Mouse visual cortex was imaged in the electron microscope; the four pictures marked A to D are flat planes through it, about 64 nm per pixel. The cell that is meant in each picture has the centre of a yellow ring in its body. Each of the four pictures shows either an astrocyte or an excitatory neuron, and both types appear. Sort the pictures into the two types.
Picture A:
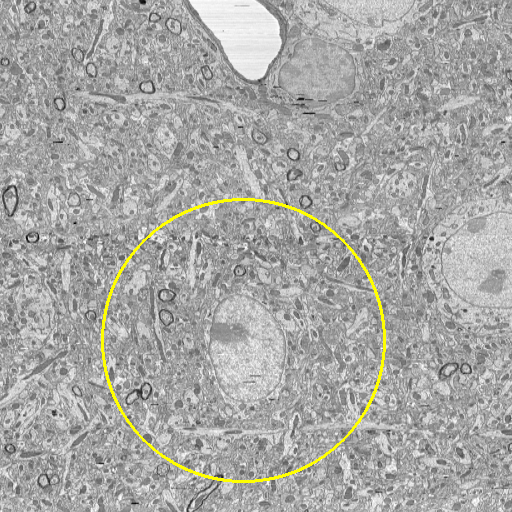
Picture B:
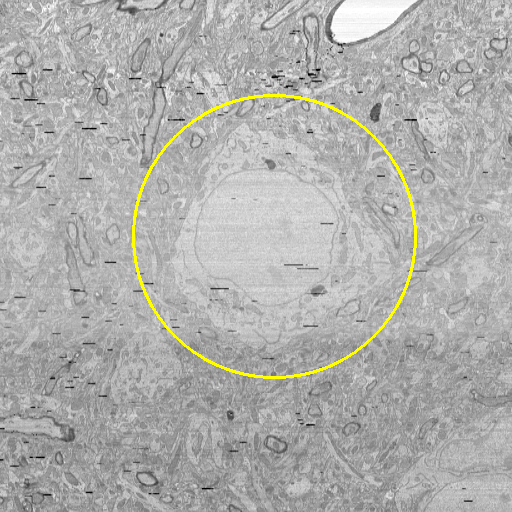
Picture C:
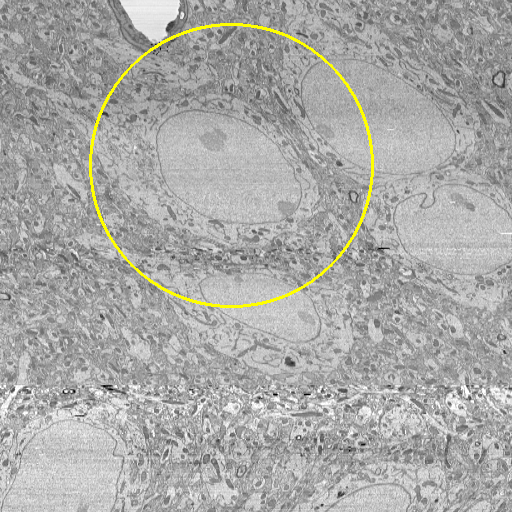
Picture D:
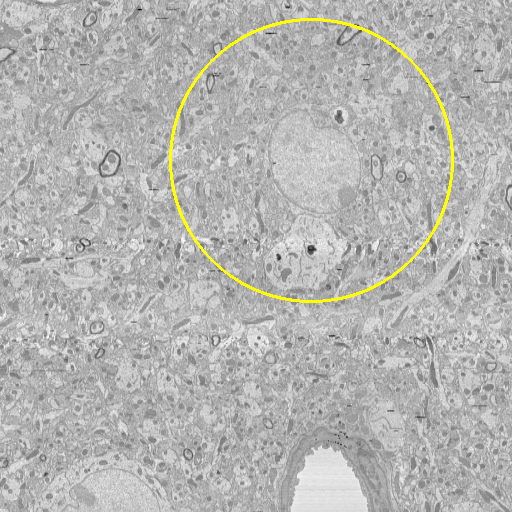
Pictures A and D show astrocytes; pictures B and C show excitatory neurons.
